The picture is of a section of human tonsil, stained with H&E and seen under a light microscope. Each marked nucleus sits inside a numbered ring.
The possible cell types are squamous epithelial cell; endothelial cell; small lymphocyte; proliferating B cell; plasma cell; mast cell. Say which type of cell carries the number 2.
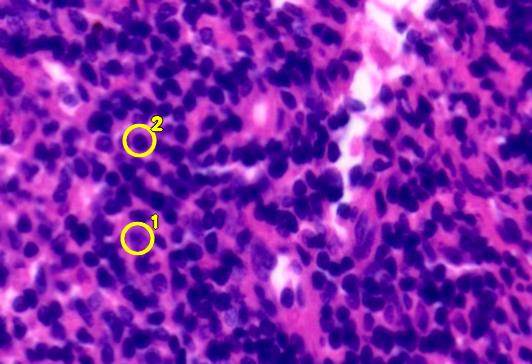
plasma cell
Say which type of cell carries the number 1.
endothelial cell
